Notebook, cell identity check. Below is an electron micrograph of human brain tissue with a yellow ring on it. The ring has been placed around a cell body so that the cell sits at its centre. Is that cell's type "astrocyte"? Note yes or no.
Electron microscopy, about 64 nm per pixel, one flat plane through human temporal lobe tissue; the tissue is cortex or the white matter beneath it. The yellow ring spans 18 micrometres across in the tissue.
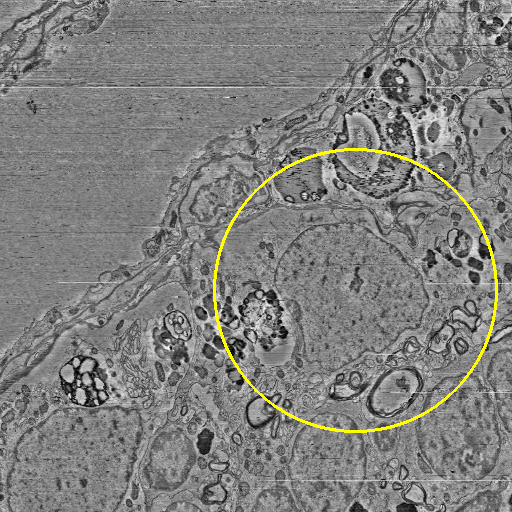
Yes, that is its cell type.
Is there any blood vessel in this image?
Yes, one appears.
